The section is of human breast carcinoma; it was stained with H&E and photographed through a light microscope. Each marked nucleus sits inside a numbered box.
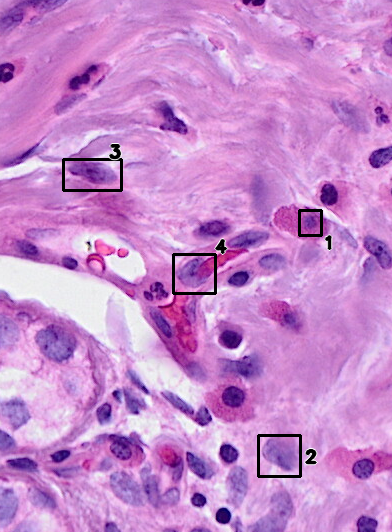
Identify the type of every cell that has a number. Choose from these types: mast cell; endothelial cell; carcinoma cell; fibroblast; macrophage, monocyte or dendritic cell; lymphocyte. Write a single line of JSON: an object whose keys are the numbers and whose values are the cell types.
{"1": "mast cell", "2": "fibroblast", "3": "fibroblast", "4": "endothelial cell"}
